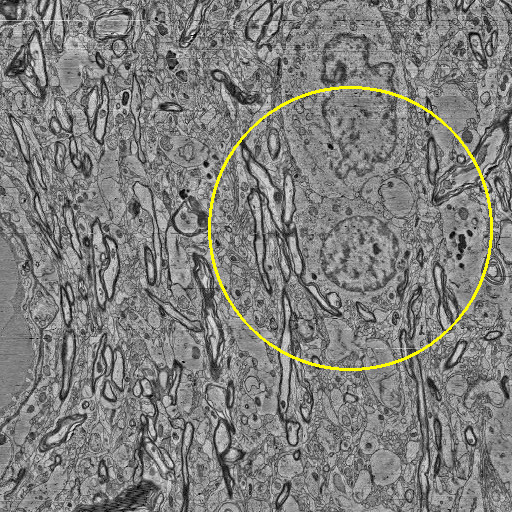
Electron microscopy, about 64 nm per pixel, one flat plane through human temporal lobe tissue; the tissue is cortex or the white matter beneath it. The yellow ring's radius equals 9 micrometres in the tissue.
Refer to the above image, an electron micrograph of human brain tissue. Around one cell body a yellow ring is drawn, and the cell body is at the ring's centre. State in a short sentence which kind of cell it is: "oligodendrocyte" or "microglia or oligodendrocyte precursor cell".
The centre of the ring falls on an oligodendrocyte.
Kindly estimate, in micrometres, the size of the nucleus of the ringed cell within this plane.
In this plane, approximately 5 micrometres across.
